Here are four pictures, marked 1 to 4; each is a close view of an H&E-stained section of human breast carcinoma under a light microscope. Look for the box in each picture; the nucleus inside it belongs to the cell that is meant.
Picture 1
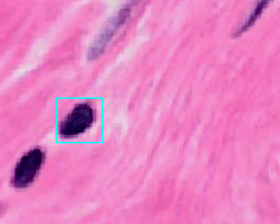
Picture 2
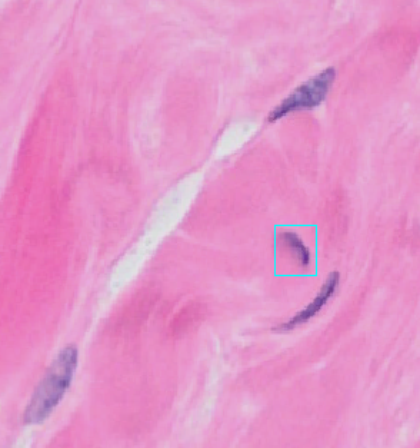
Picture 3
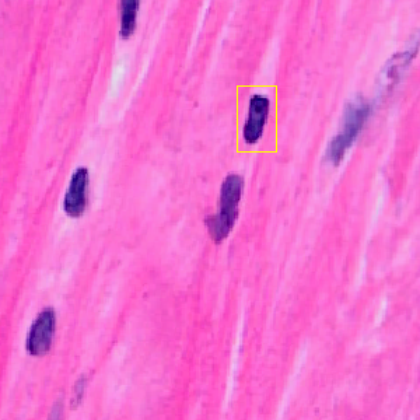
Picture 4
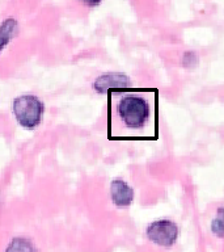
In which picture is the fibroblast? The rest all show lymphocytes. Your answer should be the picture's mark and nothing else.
2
